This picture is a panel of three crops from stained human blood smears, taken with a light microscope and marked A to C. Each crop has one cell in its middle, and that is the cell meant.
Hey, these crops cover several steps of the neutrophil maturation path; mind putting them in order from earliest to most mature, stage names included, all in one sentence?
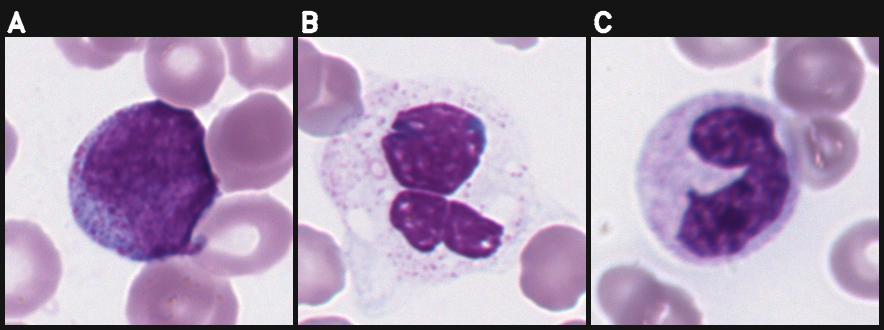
Lined up by maturity, least mature to most mature, they are crop A (a promyelocyte), crop C (a band neutrophil) and crop B (a segmented neutrophil).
